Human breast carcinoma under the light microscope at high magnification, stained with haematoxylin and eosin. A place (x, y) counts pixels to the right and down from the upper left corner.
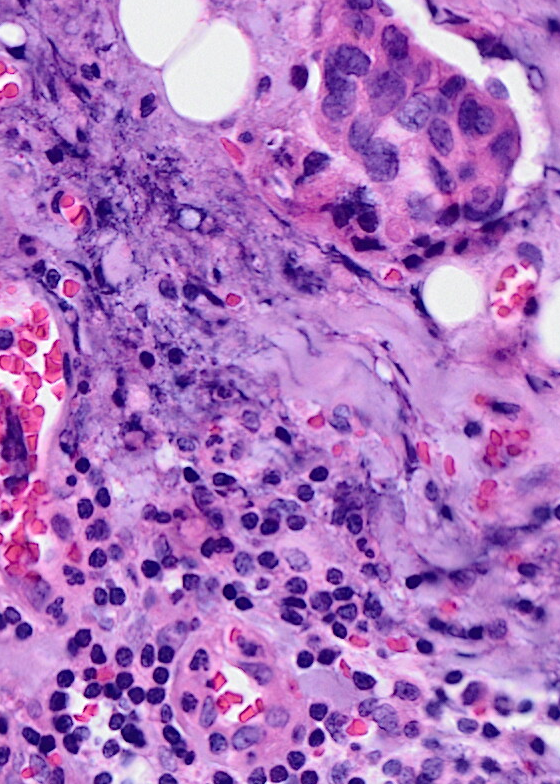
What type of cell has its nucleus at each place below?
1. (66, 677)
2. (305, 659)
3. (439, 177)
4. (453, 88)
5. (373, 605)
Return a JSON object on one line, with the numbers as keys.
{"1": "lymphocyte", "2": "lymphocyte", "3": "carcinoma cell", "4": "carcinoma cell", "5": "lymphocyte"}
